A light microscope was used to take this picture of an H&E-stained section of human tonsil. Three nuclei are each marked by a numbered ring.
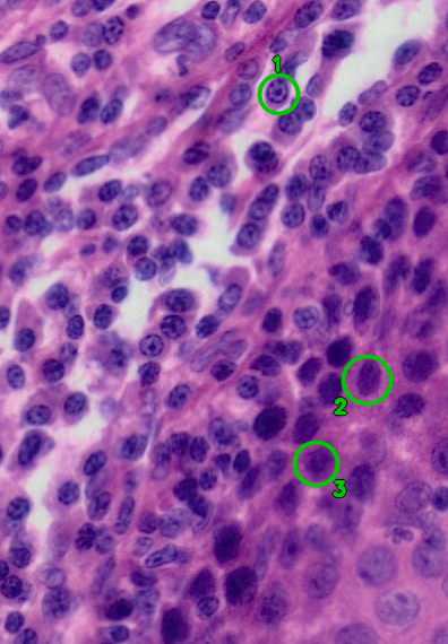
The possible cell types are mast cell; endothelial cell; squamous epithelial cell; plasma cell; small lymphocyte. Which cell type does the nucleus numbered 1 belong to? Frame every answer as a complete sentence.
In this section, number 1 marks a plasma cell.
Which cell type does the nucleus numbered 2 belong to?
Denoted by the label 2 in the section is a squamous epithelial cell.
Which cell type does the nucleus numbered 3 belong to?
Corresponding to a squamous epithelial cell is the cell labelled 3.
